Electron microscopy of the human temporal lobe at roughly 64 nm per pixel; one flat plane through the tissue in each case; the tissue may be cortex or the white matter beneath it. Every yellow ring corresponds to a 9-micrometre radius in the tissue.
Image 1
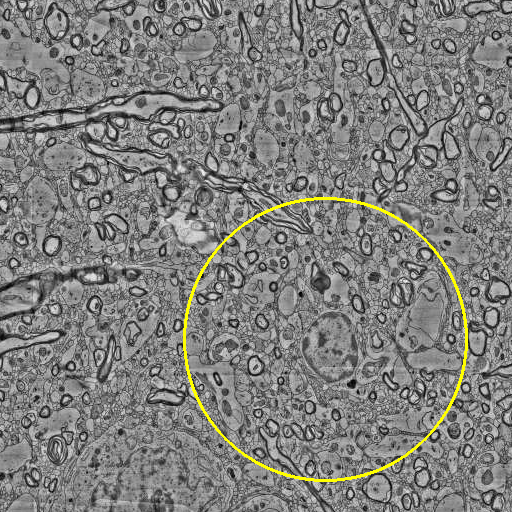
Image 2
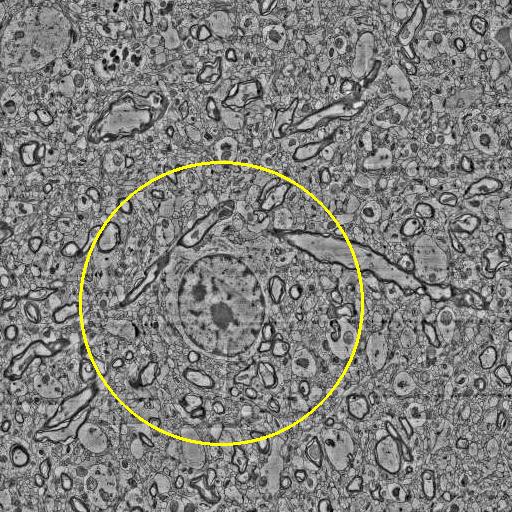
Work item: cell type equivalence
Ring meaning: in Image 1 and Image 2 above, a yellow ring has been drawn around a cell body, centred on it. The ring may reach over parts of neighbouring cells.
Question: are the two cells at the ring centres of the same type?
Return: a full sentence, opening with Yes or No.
Yes, the two centred cells are of the same type.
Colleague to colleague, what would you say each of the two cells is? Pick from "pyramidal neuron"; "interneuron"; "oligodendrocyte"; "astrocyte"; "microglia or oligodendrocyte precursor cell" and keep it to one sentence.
Each of the two pictures has a microglial cell or oligodendrocyte precursor cell at the ring centre.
